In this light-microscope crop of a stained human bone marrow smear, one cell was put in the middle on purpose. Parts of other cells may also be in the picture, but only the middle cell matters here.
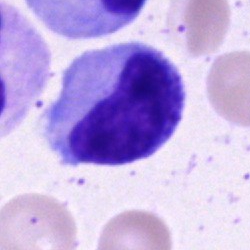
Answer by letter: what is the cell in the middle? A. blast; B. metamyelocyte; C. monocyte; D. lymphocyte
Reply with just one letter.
B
